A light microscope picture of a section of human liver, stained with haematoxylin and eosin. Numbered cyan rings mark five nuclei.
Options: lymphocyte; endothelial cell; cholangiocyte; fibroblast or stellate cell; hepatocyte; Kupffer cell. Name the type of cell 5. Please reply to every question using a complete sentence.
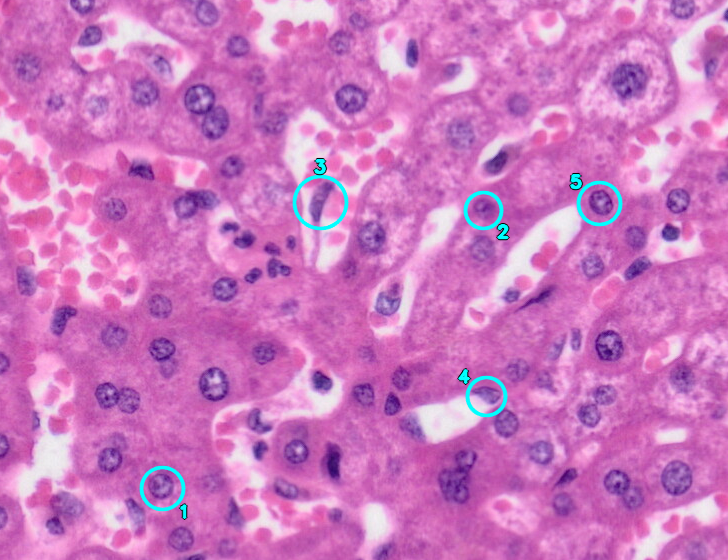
Classified as a hepatocyte is the cell with the number 5.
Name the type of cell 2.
Identified by the number 2, the cell is a hepatocyte.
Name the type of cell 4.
Classified as an endothelial cell is the cell with the number 4.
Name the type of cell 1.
The mark numbered 1 indicates the nucleus of a hepatocyte.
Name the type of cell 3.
The cell tagged with 3 in this tissue section is a Kupffer cell.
